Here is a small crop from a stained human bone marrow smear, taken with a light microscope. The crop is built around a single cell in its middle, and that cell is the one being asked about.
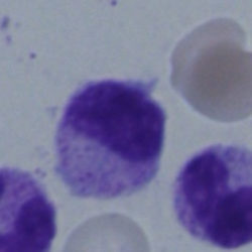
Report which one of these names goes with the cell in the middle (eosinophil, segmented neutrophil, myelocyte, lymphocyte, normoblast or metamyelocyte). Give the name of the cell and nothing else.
metamyelocyte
